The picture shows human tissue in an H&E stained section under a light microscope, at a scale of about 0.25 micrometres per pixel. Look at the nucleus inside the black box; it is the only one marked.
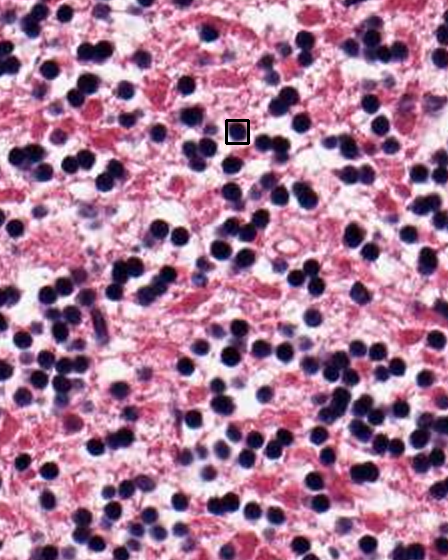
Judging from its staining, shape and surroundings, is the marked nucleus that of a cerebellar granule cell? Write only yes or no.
yes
